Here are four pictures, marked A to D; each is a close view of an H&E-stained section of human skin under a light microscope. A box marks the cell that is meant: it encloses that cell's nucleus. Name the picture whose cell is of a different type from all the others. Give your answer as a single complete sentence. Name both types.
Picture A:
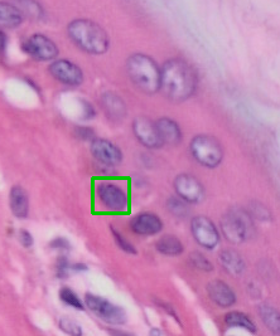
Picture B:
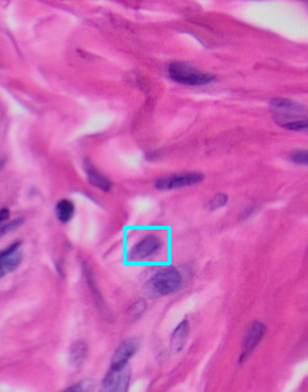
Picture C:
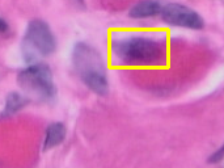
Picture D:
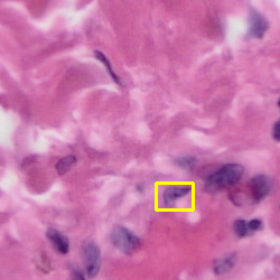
Picture A is the odd one out: it shows a basal keratinocyte, while the others show endothelial cells.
